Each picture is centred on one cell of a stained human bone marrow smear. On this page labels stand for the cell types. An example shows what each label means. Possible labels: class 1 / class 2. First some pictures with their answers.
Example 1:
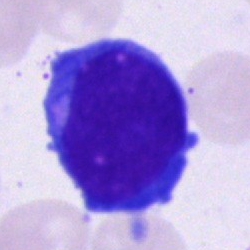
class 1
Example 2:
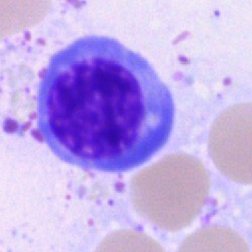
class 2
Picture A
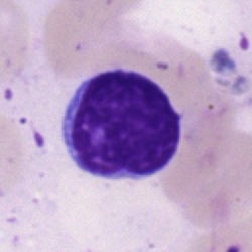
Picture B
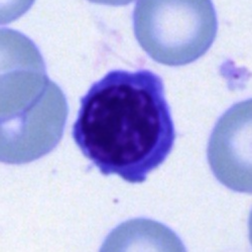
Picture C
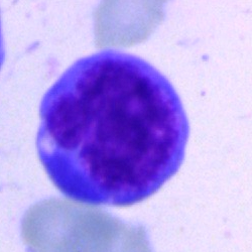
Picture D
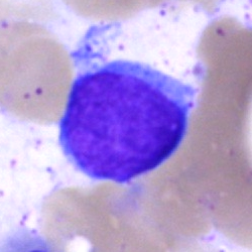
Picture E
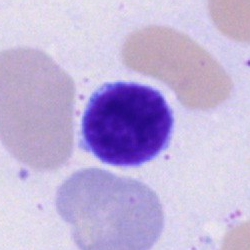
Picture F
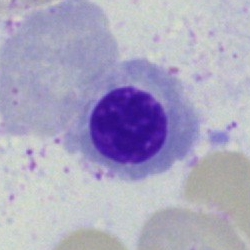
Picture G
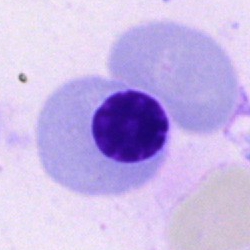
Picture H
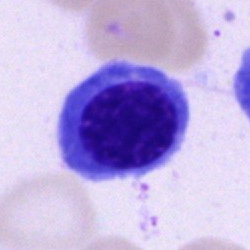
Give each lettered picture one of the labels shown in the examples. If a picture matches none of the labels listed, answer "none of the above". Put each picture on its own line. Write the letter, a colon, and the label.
A: none of the above
B: class 2
C: class 1
D: none of the above
E: none of the above
F: class 2
G: class 2
H: class 2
